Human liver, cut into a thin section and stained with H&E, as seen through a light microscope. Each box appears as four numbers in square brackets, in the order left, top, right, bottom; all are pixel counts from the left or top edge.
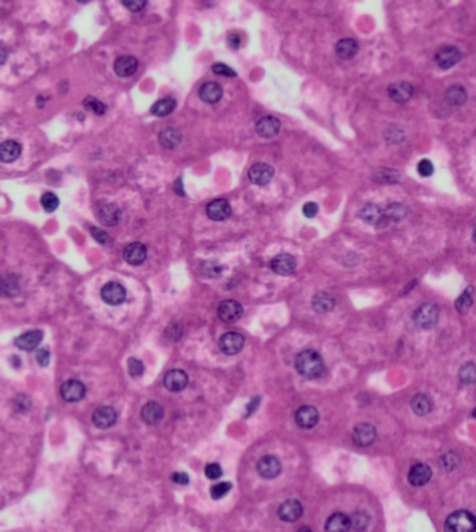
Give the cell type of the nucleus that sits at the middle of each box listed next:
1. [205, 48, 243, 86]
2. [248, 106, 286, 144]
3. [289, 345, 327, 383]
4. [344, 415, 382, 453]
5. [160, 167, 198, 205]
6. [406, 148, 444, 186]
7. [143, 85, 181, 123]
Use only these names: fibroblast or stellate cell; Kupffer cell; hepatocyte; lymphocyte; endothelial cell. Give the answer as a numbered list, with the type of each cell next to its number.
1. fibroblast or stellate cell
2. hepatocyte
3. hepatocyte
4. hepatocyte
5. endothelial cell
6. lymphocyte
7. Kupffer cell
